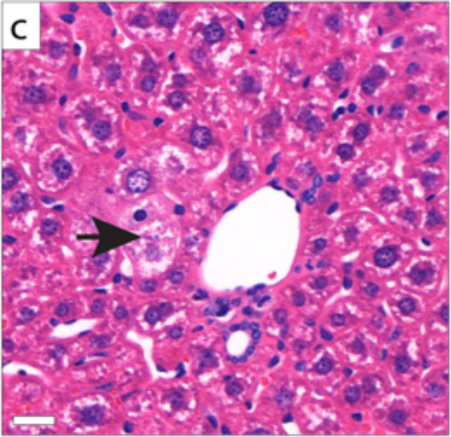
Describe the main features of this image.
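Liver tissue with hepatocytes at high magnification around a vessel lumen. The hepatocytes are large polygonal cells with pink cytoplasm and round central nuclei that show distinct nucleoli. Small elongated dark nuclei line the thin sinusoidal spaces between the cell plates and the wall of the open white vessel lumen. At the left, one hepatocyte is enlarged, with pale, rarefied and clumped cytoplasm unlike its neighbours, a ballooned hepatocyte.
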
